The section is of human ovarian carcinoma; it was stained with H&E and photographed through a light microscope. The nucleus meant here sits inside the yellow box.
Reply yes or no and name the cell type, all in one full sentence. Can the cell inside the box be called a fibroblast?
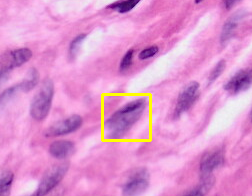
Yes, to put it simply, the cell inside the box is a fibroblast.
